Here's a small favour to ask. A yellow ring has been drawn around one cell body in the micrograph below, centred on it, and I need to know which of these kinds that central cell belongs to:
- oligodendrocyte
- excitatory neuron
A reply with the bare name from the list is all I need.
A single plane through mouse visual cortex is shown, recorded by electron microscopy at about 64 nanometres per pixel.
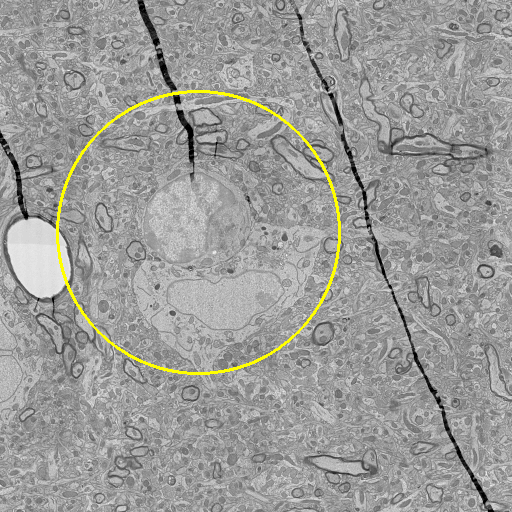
oligodendrocyte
